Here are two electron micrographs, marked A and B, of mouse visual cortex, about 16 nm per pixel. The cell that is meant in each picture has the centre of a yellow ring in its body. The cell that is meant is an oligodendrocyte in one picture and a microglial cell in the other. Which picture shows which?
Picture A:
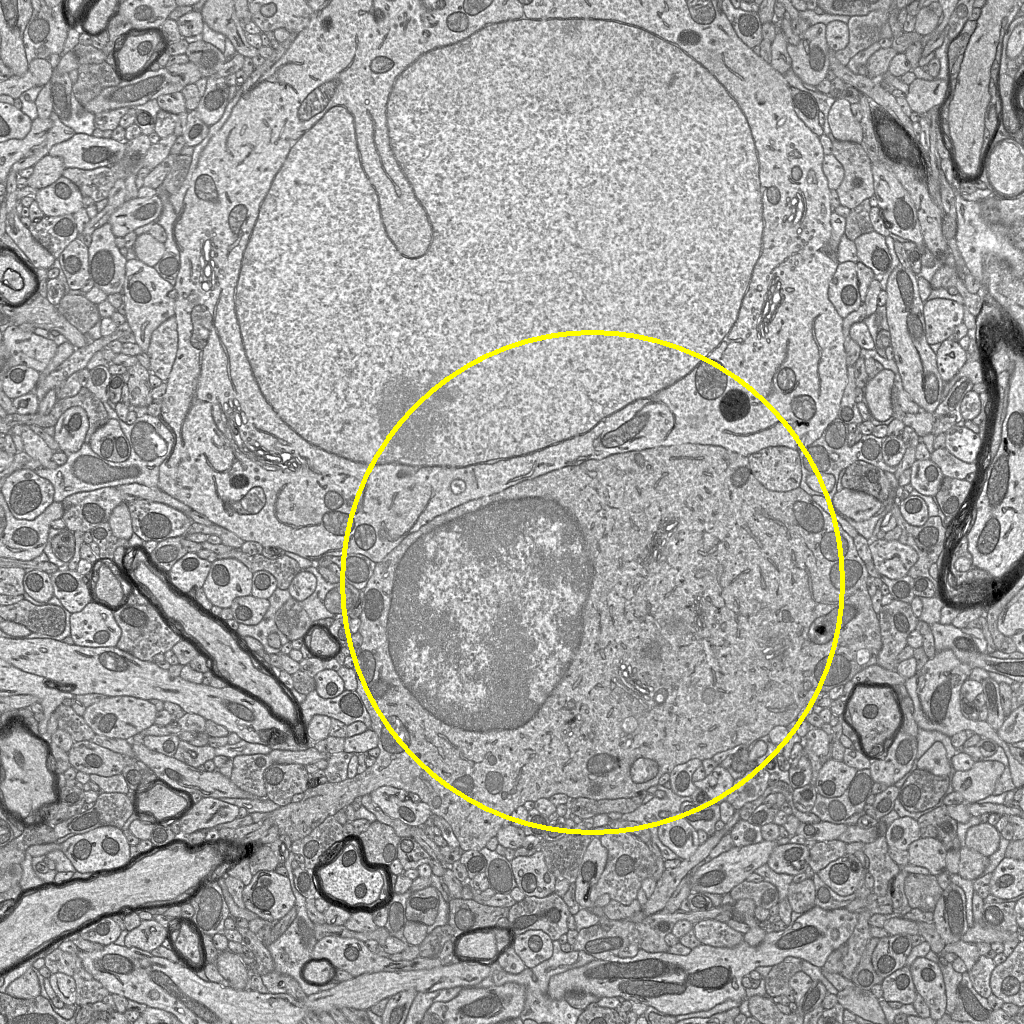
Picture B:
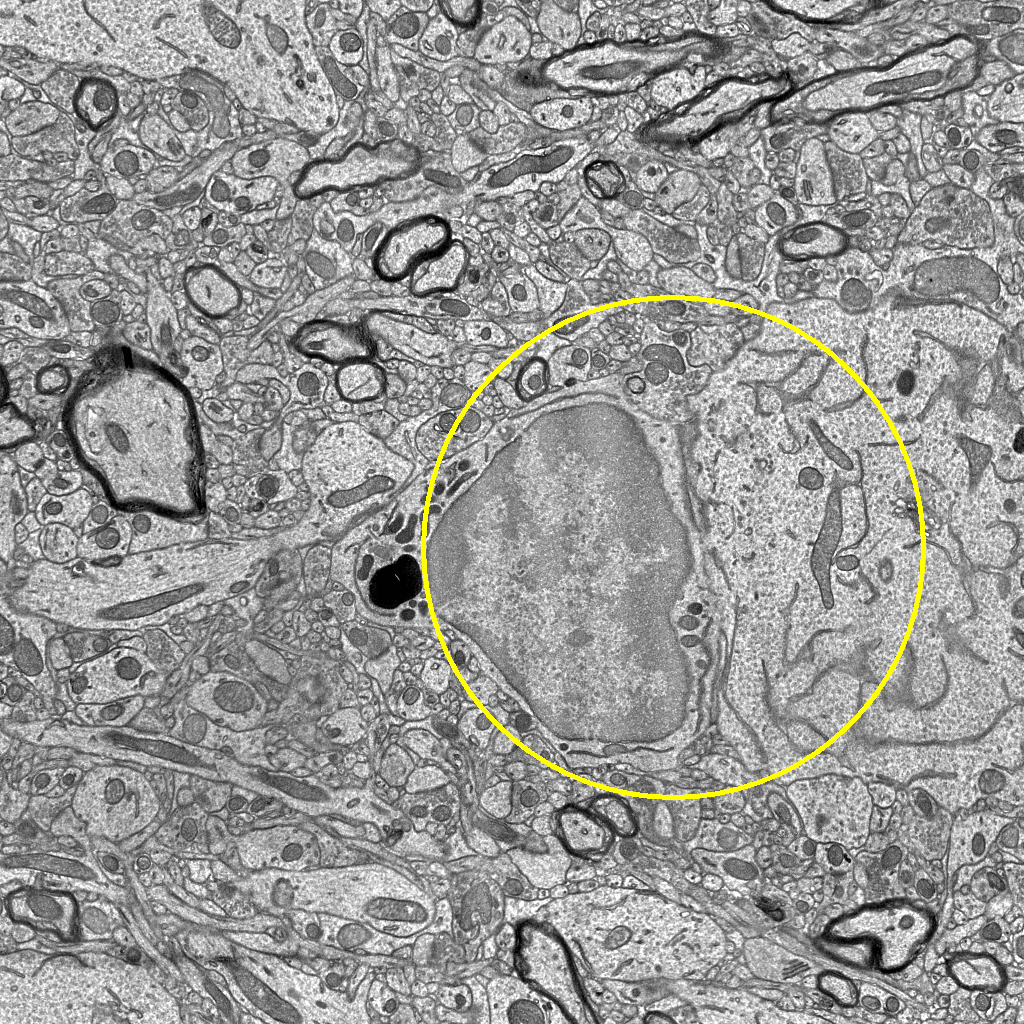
Picture B shows a microglial cell, while picture A shows an oligodendrocyte.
